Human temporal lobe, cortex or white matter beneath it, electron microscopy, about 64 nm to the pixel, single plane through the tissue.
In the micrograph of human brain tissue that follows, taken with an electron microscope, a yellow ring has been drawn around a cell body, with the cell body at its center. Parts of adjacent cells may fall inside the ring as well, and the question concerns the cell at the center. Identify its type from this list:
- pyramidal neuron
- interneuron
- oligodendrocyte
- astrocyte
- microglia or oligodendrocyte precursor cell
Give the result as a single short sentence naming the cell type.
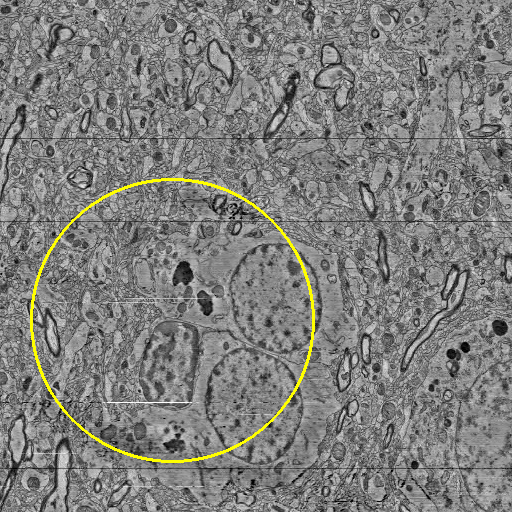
The ring is centered on a microglial cell or oligodendrocyte precursor cell.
